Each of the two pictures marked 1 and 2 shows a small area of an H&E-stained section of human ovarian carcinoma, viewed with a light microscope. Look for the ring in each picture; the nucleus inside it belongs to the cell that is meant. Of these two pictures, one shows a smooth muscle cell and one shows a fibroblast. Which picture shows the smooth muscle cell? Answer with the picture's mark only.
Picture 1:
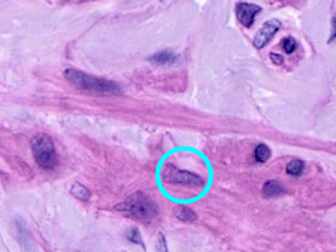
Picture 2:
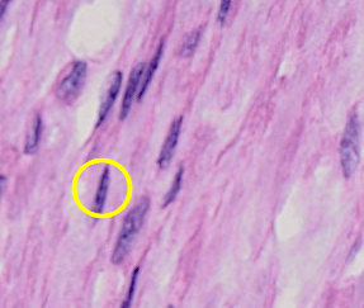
1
